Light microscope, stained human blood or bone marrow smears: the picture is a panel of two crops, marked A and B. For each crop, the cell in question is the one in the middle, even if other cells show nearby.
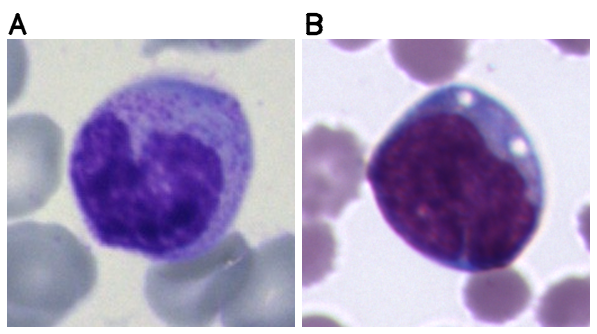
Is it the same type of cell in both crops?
yes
